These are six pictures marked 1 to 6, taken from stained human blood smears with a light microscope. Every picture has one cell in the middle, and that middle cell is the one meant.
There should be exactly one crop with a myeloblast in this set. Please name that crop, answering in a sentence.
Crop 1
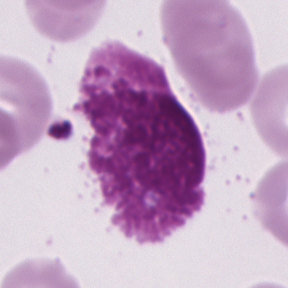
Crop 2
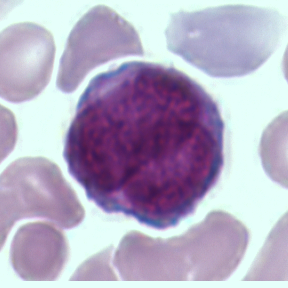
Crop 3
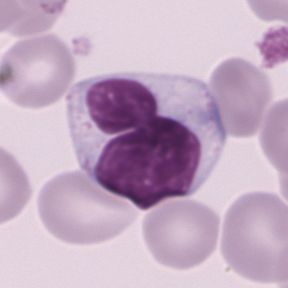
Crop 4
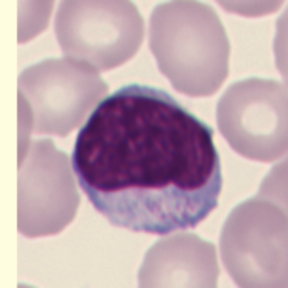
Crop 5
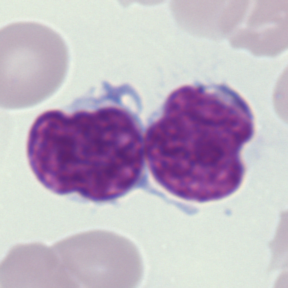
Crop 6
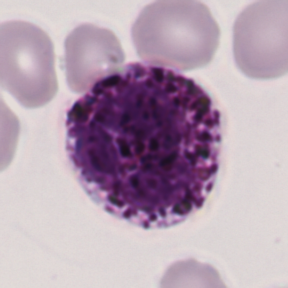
Crop 5 is the right one; it is the crop showing a myeloblast.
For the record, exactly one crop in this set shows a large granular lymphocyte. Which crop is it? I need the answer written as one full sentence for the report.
Of the labeled crops, the one with a large granular lymphocyte is crop 3.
